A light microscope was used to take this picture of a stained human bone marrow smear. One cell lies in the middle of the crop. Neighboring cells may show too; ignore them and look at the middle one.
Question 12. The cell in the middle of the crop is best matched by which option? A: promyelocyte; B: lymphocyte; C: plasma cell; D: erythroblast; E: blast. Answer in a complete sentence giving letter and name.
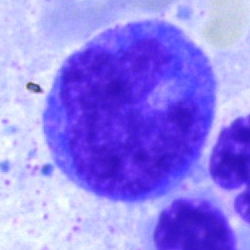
Since the cell in the centre is a promyelocyte, the correct option is A.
